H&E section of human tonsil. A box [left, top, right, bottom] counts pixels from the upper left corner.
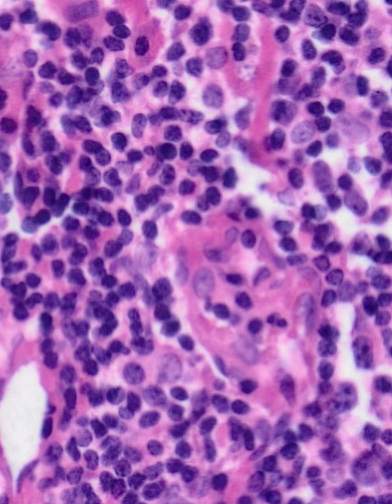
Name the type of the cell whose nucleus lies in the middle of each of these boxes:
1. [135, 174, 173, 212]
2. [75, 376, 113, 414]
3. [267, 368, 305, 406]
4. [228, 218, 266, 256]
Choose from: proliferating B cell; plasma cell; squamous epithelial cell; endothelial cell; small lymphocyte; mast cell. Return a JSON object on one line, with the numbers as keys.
{"1": "small lymphocyte", "2": "small lymphocyte", "3": "endothelial cell", "4": "endothelial cell"}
